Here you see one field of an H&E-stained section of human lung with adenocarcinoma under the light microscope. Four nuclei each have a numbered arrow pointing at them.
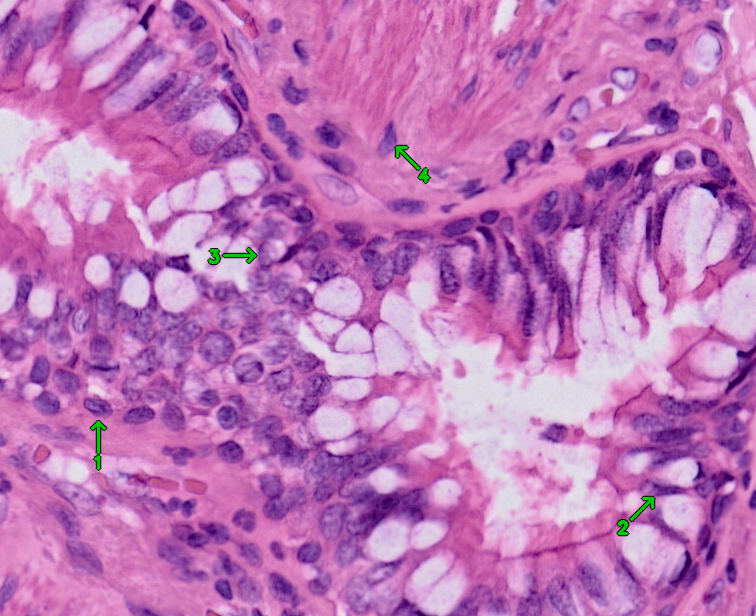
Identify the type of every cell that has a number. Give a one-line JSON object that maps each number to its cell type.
{"1": "ciliated epithelial cell", "2": "ciliated epithelial cell", "3": "ciliated epithelial cell", "4": "smooth muscle cell or pericyte"}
